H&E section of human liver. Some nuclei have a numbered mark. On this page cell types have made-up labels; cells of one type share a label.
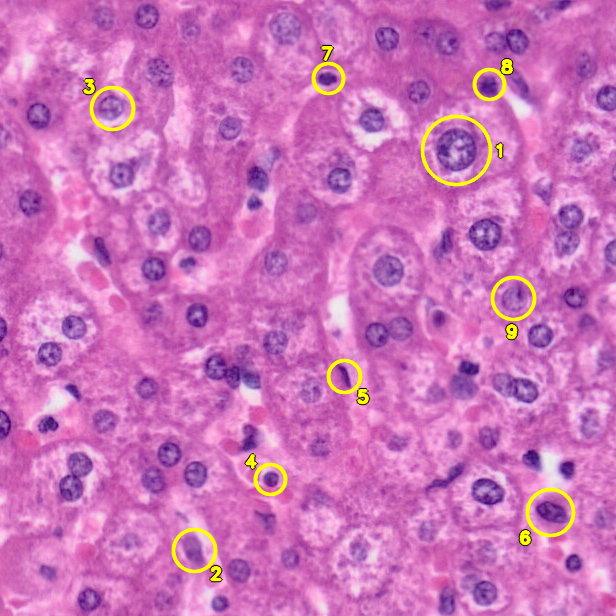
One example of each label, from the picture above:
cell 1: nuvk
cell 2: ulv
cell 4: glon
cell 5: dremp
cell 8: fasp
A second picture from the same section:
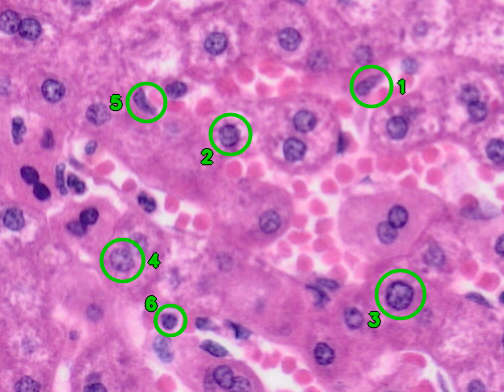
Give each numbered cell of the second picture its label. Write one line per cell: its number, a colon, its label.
1: ulv
2: nuvk
3: nuvk
4: nuvk
5: dremp
6: glon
